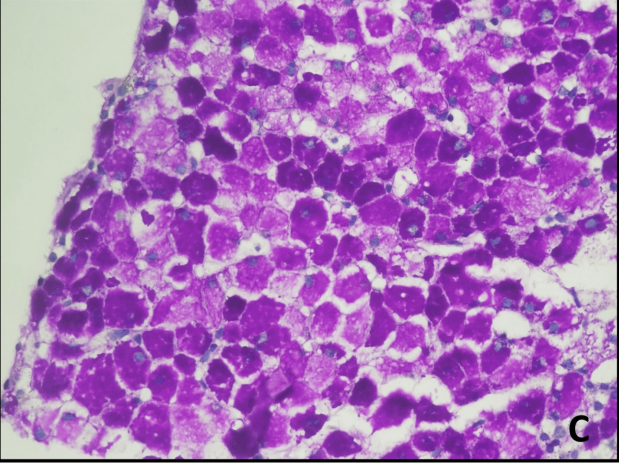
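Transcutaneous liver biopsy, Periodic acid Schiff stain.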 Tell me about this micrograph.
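Hepatocytes are shown with a magenta stain, many of them filled with dense, granular, deep purple-magenta material. These darkly stained cells alternate with lighter-stained hepatocytes, producing a patchwork or mosaic pattern. Small bluish nuclei are visible within the cells, and white gaps separate some of the cells.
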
